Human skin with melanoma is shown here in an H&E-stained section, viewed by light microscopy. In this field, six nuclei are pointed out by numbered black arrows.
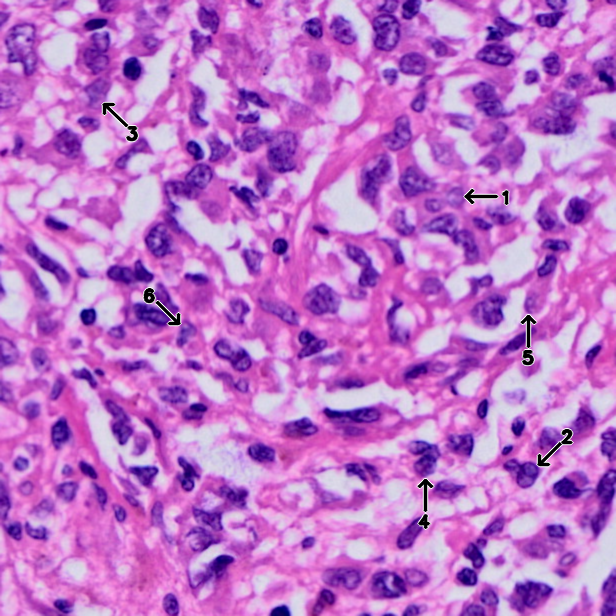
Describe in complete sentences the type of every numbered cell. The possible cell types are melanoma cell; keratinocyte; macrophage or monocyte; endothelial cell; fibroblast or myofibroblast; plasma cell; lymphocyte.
Cell 1 is a melanoma cell, cell 2 is a macrophage or monocyte, cell 3 is a melanoma cell, cell 4 is a melanoma cell, cell 5 is a melanoma cell and cell 6 is a macrophage or monocyte.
